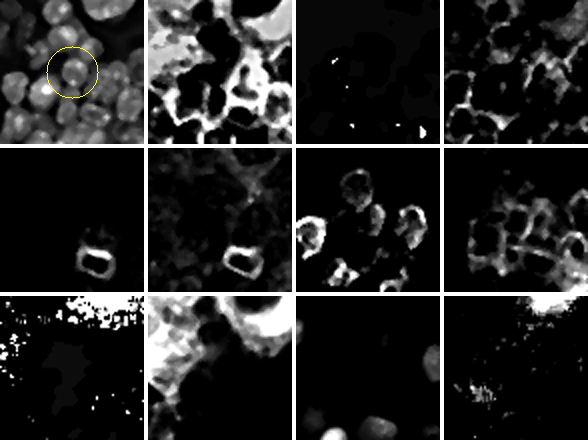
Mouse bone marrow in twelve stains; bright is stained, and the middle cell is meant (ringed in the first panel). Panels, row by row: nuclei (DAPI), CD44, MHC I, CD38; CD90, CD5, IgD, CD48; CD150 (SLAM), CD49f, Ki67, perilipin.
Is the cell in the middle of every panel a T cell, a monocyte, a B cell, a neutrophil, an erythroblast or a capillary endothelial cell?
It is a B cell.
